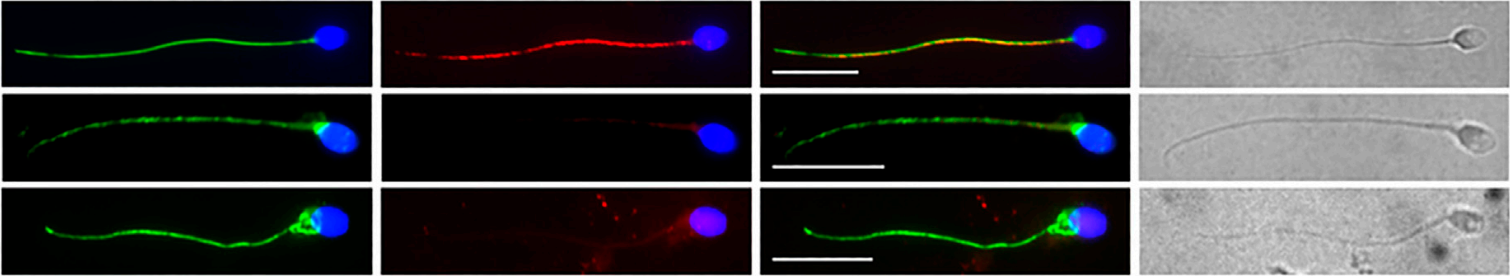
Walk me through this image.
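Three spermatozoa are shown, each with a small oval head whose nucleus is stained blue and a long slender flagellum outlined by green fluorescence along its whole length. In the top cell the flagellum also carries an interrupted red stain along nearly its full length, overlapping the green in the merged view. In the two lower cells the flagellum stays green but red stain is nearly absent, with only faint scattered dots.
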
